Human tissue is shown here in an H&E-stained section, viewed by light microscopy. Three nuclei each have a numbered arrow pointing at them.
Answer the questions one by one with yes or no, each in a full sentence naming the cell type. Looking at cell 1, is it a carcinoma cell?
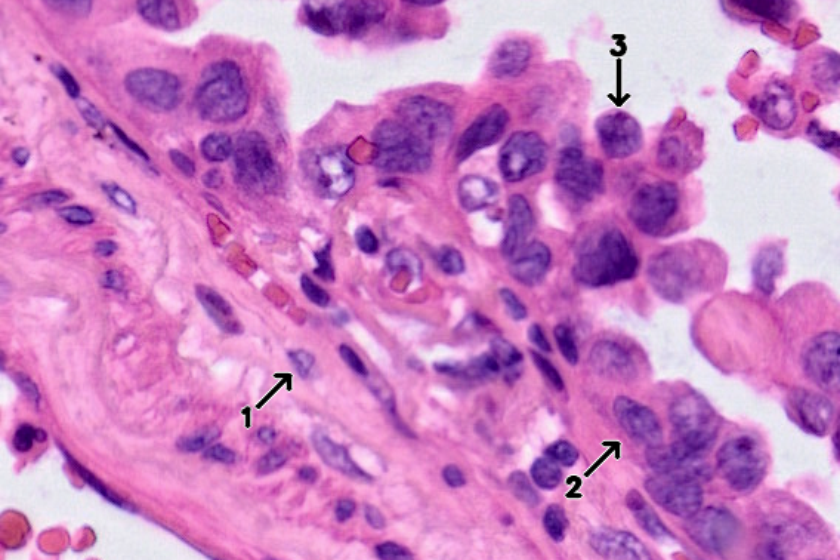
No, in terms of cell type, cell 1 is a fibroblast, not a carcinoma cell.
